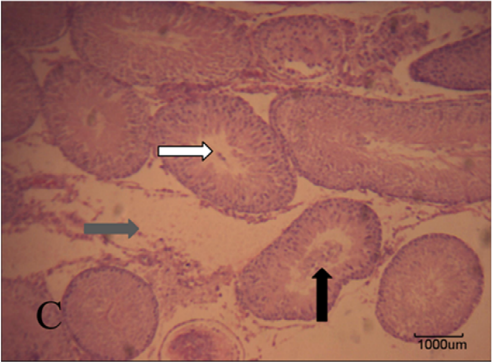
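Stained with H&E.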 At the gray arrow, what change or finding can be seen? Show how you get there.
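The gray arrow lies in a wide pale area between tubules. Only sparse strands of loose tissue cross this gap.
Hence: enlarged spaces between the seminiferous tubules.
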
